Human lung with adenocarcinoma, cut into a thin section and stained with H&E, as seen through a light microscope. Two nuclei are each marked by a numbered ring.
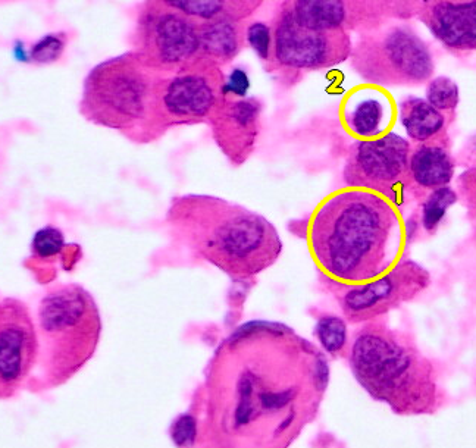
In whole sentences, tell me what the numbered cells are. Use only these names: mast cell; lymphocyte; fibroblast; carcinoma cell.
Cell 1 is a carcinoma cell. Cell 2 is a lymphocyte.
